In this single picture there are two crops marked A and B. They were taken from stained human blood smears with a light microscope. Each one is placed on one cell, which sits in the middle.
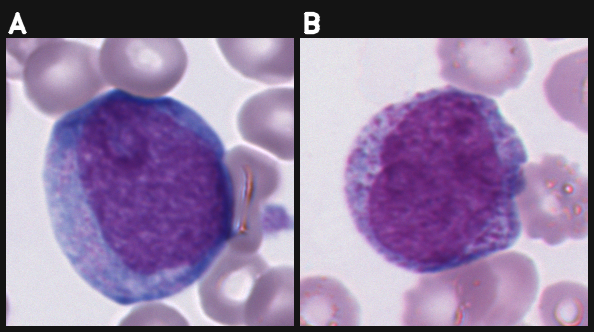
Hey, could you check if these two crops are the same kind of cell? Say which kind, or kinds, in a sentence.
Yes, both crops alike show promyelocytes at the centre.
